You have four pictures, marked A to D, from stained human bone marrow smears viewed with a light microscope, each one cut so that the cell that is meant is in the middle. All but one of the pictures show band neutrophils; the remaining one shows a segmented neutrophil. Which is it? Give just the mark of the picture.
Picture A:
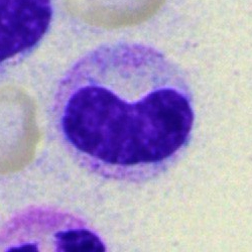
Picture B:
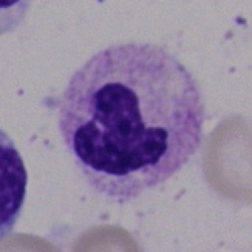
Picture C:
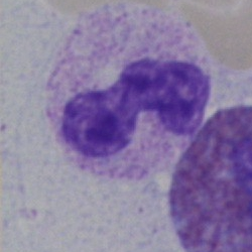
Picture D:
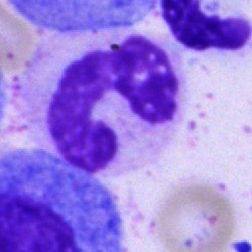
B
